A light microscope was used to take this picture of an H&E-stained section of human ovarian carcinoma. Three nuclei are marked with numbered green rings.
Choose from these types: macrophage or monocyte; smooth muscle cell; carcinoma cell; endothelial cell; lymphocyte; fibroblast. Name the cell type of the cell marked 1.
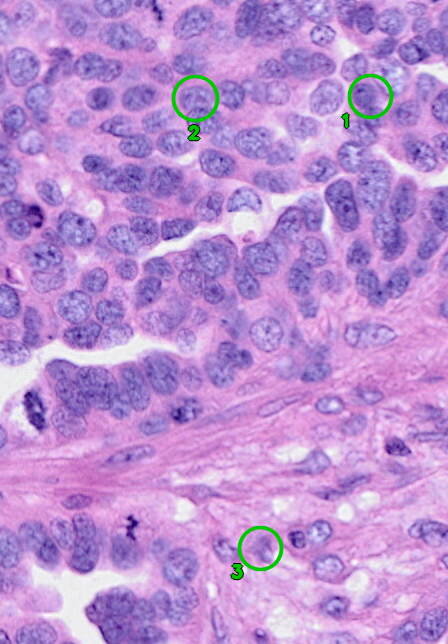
carcinoma cell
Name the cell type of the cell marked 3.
fibroblast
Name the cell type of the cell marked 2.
carcinoma cell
